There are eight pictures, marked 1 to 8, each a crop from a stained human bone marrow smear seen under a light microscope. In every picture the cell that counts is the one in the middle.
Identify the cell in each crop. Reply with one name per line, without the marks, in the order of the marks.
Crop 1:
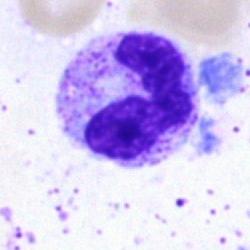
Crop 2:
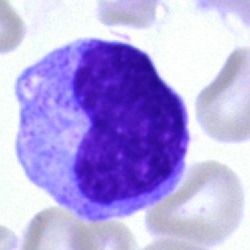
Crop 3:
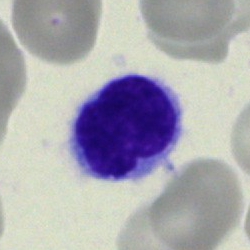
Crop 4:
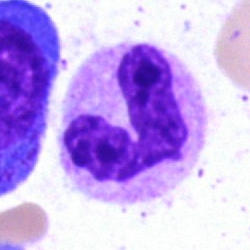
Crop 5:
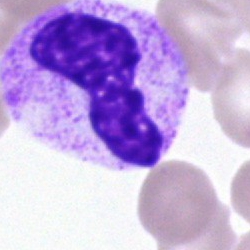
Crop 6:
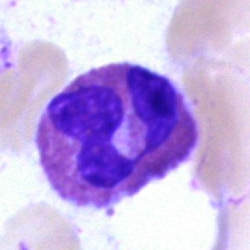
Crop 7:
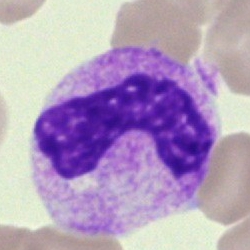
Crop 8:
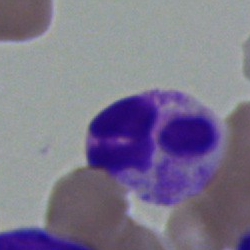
segmented neutrophil
monocyte
hairy cell
band neutrophil
segmented neutrophil
eosinophil
band neutrophil
segmented neutrophil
